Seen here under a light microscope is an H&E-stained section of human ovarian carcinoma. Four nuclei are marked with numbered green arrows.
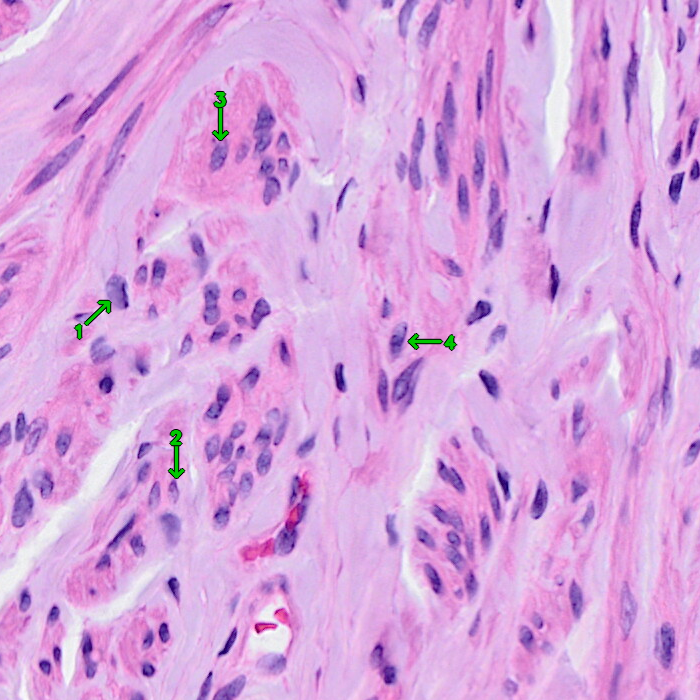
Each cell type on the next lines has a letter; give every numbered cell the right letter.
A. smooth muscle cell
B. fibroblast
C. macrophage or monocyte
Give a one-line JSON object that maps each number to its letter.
{"1": "B", "2": "A", "3": "A", "4": "A"}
